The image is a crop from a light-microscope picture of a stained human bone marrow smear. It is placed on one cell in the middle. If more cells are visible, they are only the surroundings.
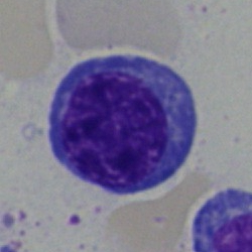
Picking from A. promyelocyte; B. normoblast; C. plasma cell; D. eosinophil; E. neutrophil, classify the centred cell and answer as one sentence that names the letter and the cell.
The central cell in this crop is a normoblast, so the correct choice is option B.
